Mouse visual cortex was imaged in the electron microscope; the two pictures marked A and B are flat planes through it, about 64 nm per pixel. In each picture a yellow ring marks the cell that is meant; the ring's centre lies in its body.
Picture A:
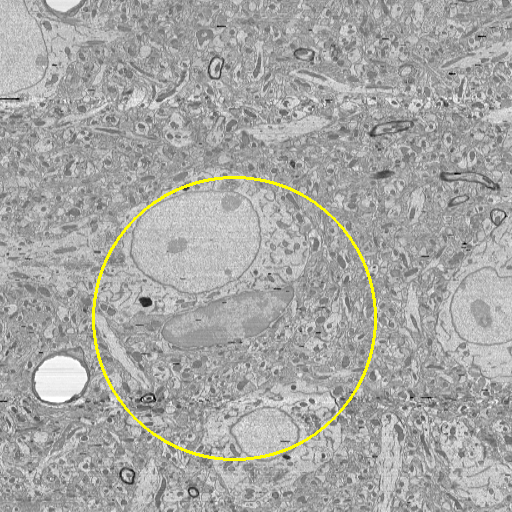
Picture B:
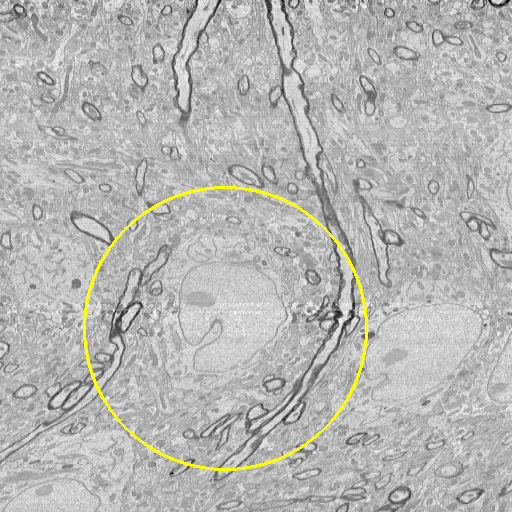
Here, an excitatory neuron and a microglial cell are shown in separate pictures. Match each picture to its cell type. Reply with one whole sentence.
The cell in picture A is a microglial cell, and the one in picture B is an excitatory neuron.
